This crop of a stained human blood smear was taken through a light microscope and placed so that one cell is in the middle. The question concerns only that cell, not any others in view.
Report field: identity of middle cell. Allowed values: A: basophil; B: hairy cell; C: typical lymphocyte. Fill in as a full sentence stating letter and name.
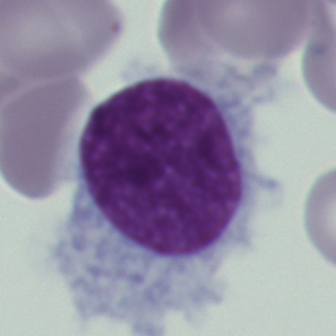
The central cell, a hairy cell, is correctly identified by option B.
